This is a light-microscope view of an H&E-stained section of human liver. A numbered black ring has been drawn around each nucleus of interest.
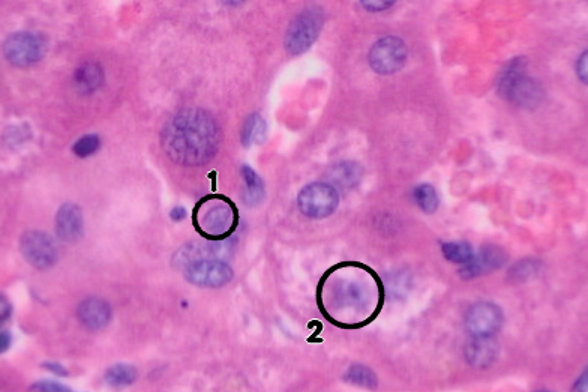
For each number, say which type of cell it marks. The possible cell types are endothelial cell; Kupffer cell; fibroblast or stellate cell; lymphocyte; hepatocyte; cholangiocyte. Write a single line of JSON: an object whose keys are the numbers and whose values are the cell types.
{"1": "cholangiocyte", "2": "hepatocyte"}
